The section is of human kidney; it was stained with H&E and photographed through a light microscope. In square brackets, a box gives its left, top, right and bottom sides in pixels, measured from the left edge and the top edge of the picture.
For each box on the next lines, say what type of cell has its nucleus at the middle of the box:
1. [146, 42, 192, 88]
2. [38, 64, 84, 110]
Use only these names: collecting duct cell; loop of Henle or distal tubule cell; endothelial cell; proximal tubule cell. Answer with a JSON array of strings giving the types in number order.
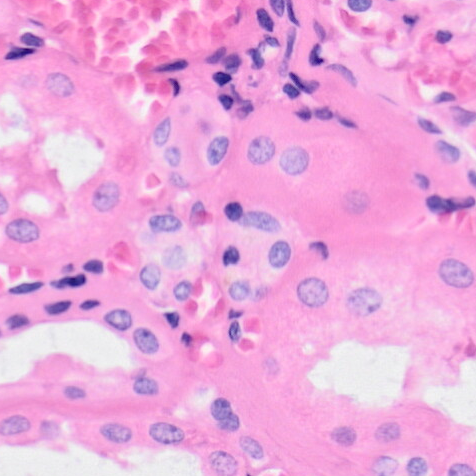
["endothelial cell", "proximal tubule cell"]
